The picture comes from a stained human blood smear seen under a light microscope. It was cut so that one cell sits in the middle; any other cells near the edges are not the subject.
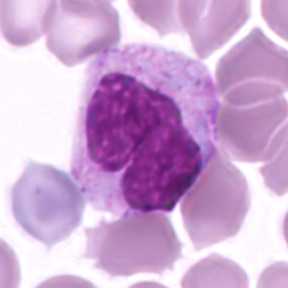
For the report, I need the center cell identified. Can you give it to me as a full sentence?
In the crop, the cell of interest at the centre is a band neutrophil.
